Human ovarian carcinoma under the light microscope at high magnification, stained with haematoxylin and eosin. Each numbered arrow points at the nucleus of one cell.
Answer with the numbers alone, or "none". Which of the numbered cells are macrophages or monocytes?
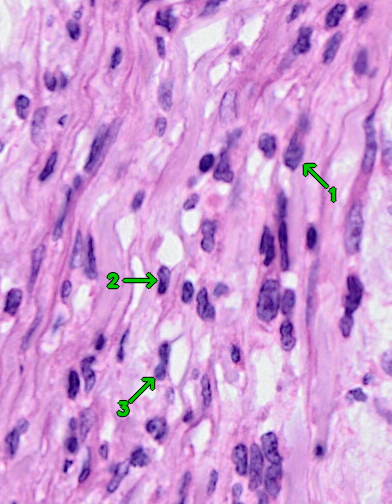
1, 2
